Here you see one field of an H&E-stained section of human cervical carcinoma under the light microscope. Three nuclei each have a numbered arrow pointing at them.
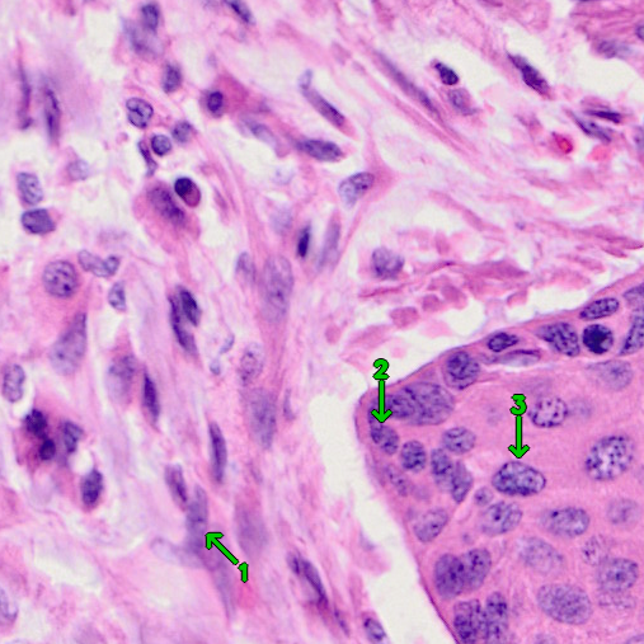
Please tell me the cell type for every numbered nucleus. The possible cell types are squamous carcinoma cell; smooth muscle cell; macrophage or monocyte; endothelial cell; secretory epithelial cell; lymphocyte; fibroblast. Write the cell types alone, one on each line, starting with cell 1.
fibroblast
squamous carcinoma cell
squamous carcinoma cell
